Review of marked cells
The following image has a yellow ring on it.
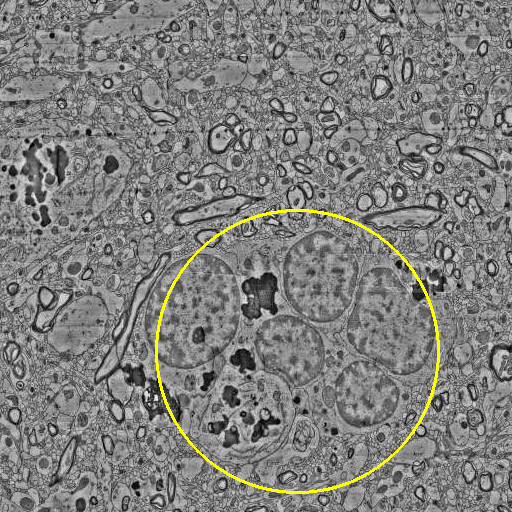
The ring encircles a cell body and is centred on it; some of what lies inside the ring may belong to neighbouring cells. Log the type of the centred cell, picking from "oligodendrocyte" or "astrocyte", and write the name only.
oligodendrocyte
